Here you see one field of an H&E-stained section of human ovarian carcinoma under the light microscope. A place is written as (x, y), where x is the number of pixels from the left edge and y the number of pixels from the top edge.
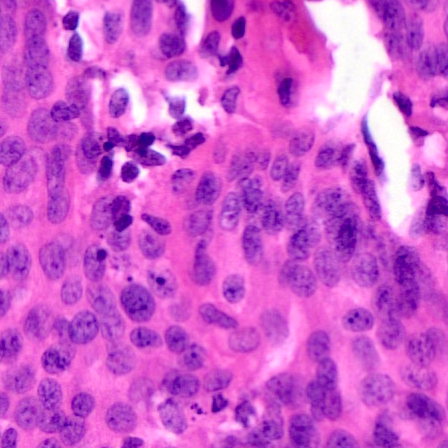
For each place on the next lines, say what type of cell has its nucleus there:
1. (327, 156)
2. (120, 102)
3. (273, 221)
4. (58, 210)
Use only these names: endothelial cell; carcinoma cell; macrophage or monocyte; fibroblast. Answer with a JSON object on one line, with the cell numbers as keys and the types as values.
{"1": "carcinoma cell", "2": "macrophage or monocyte", "3": "carcinoma cell", "4": "endothelial cell"}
